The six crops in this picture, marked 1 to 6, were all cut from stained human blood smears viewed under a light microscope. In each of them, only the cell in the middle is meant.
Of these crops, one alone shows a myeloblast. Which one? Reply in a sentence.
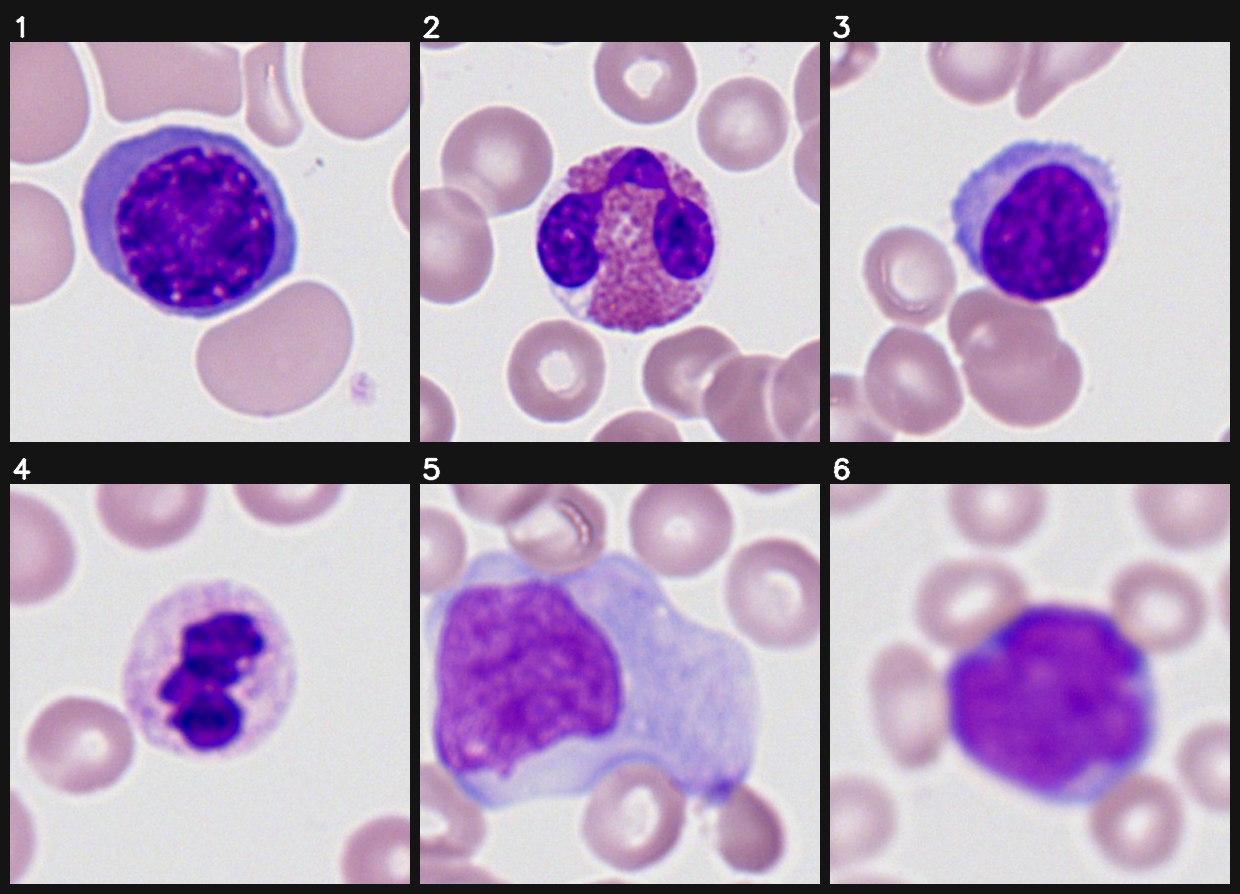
The one crop that shows a myeloblast is crop 6.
